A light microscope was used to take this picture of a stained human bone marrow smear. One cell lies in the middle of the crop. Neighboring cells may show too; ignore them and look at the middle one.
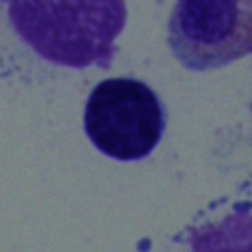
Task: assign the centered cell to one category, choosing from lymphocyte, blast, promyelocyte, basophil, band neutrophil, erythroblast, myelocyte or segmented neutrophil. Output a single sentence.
Looking at the middle of the crop, the cell there is a lymphocyte.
